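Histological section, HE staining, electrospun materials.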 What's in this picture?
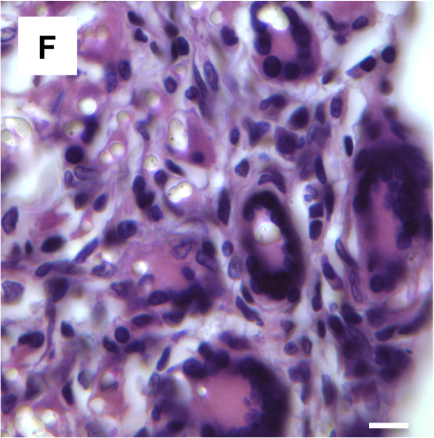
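Densely cellular tissue is seen, with large cells whose many dark purple nuclei crowd into a thick rim around pink cytoplasm, some in a ring around a central clear round profile. Many small round, glassy, refractile circles lie scattered through the field, inside and between these cells, each only a few micrometres across, likely cross-cut fibres. Among them are numerous smaller cells with single oval or rounded nuclei in pale pink matrix.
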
